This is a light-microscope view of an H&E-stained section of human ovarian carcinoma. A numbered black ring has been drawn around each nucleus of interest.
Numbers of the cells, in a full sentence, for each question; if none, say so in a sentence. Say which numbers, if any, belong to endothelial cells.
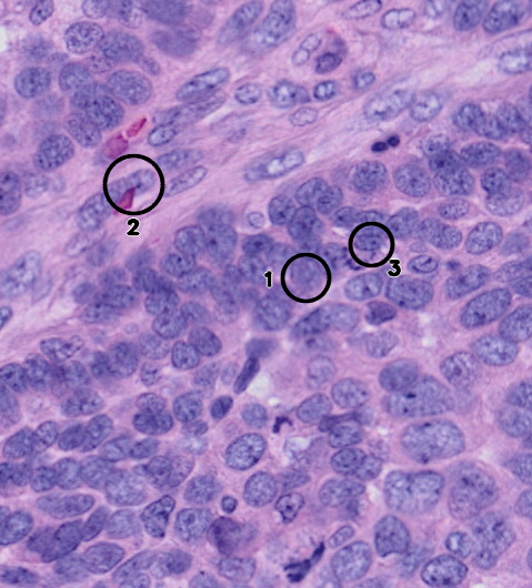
Of the marked cells, the one numbered 2 is an endothelial cell and the rest are not.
